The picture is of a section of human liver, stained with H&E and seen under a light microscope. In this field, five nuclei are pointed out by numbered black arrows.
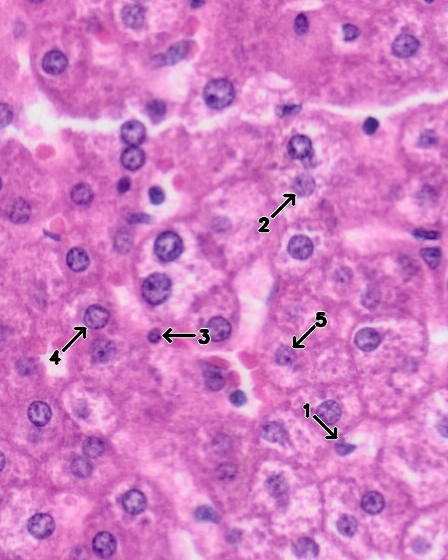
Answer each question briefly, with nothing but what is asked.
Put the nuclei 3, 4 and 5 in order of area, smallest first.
3, 5, 4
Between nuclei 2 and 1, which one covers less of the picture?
1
